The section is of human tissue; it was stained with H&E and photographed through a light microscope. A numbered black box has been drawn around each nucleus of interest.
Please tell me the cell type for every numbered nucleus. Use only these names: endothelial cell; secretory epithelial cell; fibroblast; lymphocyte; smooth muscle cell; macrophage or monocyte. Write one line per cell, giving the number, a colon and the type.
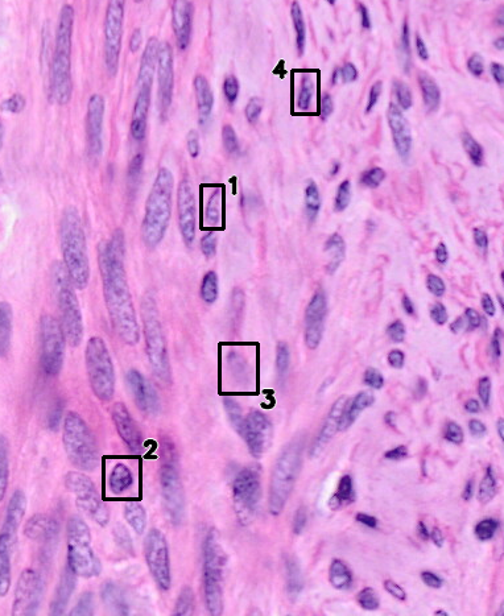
1: smooth muscle cell
2: lymphocyte
3: smooth muscle cell
4: smooth muscle cell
